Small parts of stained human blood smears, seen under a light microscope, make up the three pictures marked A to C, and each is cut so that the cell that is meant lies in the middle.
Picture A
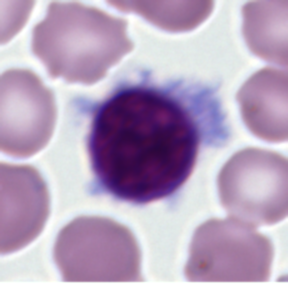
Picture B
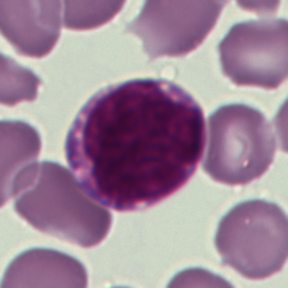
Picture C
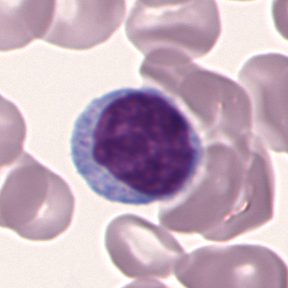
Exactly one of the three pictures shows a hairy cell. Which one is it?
A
